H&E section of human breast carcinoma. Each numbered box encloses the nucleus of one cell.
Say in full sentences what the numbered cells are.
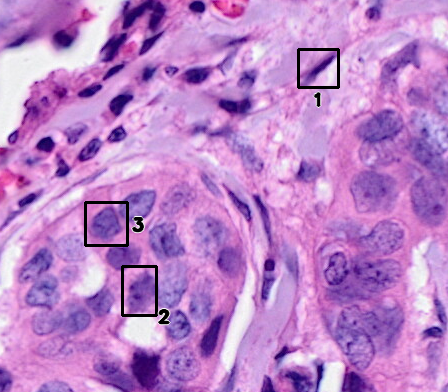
Cell 1 is a fibroblast. Cells 2 and 3 are carcinoma cells.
